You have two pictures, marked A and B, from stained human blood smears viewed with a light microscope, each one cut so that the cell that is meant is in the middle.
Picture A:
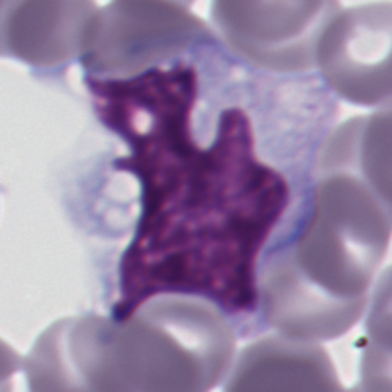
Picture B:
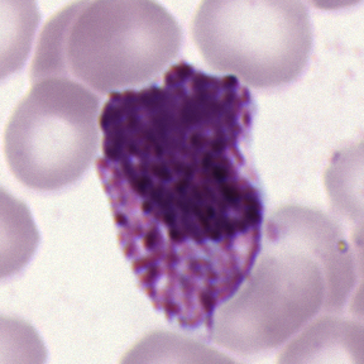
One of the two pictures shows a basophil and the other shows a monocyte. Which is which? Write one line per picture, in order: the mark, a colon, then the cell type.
A: monocyte
B: basophil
